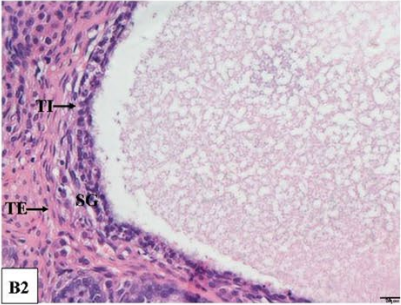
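Wall of a cystic dilated ovarian follicle with granulosa and theca layers. A large cavity filled with pale pink, finely reticular fluid takes up most of the field; no oocyte is present. The cavity is lined by a thin band of only a few rows of granulosa cells with small dark purple nuclei. Outside this lies a layer of spindle-shaped theca cells with elongated nuclei arranged parallel to the wall, merging into pink fibrous stroma at the edge of the field.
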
